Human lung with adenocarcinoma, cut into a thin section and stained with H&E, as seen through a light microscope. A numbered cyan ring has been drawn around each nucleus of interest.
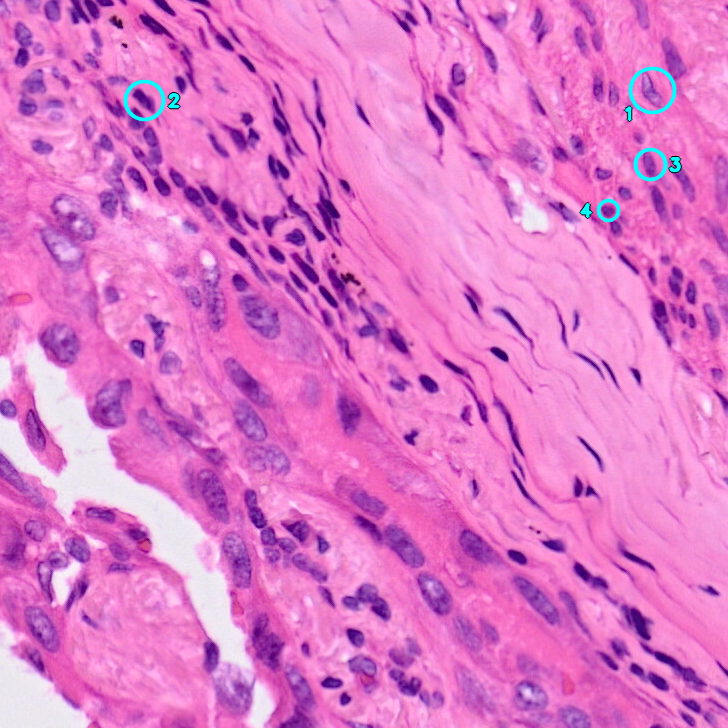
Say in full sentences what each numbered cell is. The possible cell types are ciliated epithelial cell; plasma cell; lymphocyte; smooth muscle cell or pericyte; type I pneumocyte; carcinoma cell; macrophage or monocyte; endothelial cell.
Cell 1 is a smooth muscle cell or pericyte, cell 2 is a lymphocyte, cell 3 is a smooth muscle cell or pericyte and cell 4 is a smooth muscle cell or pericyte.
